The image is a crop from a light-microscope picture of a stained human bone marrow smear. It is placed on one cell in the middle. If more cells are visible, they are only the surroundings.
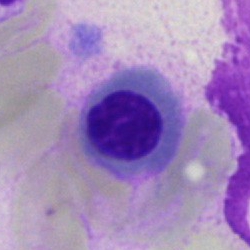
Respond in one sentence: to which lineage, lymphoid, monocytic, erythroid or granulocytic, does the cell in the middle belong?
It is the erythroid lineage to which the central cell belongs.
